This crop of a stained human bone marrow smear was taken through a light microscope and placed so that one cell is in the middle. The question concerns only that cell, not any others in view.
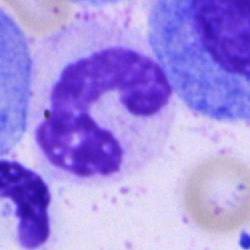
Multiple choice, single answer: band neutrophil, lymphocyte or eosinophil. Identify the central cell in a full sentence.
The middle of this crop holds a band neutrophil.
